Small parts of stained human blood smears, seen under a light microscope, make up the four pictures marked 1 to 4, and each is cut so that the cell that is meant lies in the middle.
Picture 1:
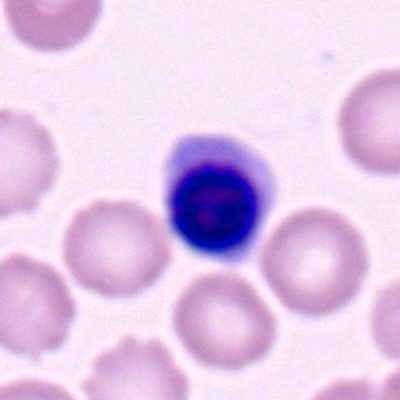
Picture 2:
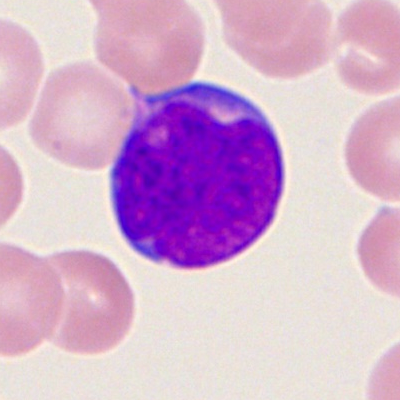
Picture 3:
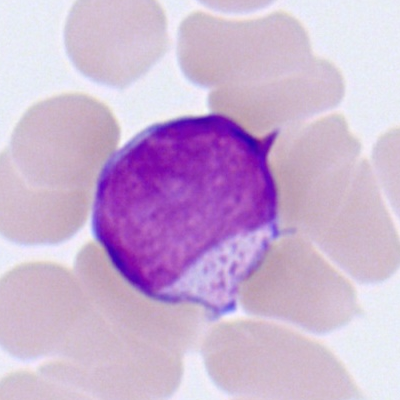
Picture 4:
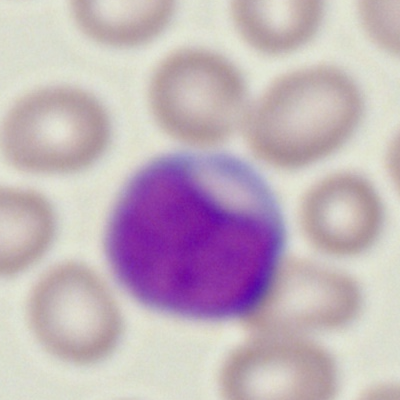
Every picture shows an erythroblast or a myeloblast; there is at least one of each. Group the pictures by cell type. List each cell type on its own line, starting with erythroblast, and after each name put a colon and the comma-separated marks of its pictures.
erythroblast: 1
myeloblast: 2, 3, 4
